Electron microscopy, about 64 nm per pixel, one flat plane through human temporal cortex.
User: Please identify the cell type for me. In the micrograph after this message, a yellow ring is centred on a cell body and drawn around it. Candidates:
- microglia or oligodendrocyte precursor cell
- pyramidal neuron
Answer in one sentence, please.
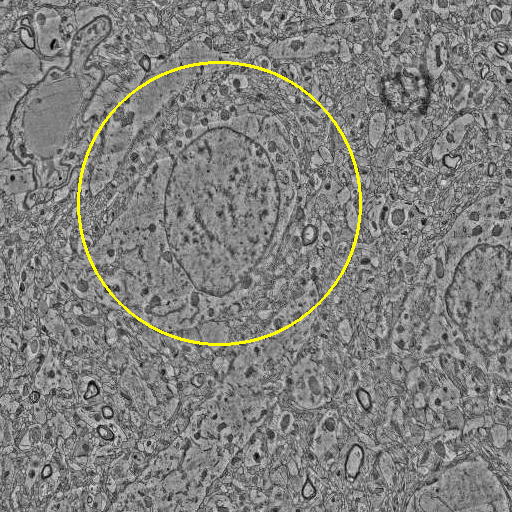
The ring is drawn around the cell body of a pyramidal neuron.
